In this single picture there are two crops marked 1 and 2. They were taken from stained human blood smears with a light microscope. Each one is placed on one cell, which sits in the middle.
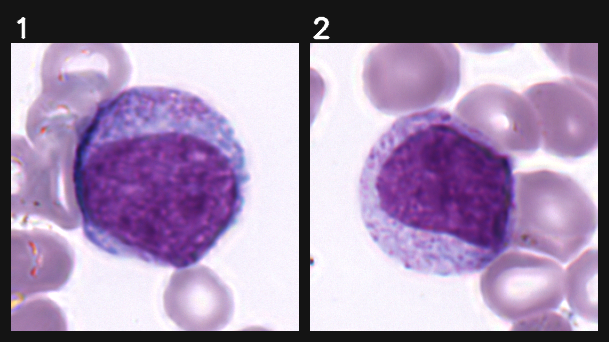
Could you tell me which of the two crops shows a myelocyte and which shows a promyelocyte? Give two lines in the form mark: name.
1: promyelocyte
2: myelocyte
